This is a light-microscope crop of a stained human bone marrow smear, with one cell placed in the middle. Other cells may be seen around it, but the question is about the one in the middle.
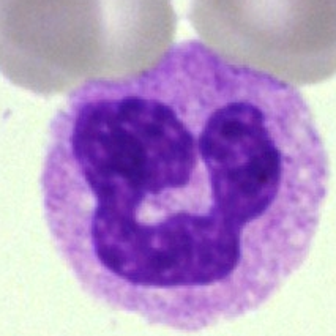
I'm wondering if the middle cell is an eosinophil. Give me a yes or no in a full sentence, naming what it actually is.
No, the cell at the centre of the crop corresponds to a neutrophil, not an eosinophil.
